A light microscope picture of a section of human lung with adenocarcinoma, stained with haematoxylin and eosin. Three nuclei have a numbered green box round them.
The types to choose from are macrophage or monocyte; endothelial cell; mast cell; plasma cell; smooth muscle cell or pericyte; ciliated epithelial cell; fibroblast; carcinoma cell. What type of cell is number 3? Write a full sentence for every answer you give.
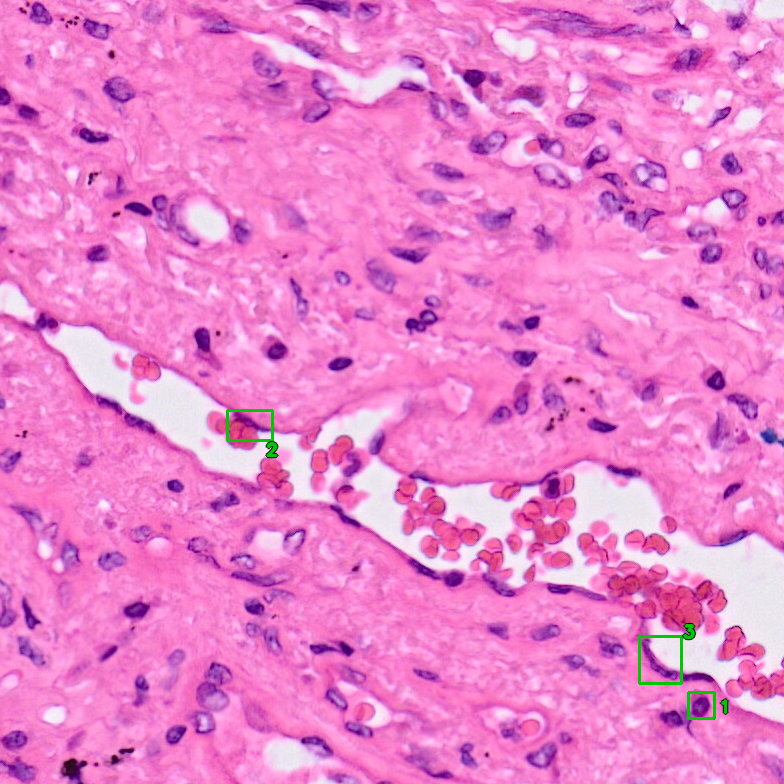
At number 3, the marked cell is an endothelial cell.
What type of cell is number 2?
Among the marked cells, number 2 is an endothelial cell.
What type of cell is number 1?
The marked cell bearing number 1 is a plasma cell.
